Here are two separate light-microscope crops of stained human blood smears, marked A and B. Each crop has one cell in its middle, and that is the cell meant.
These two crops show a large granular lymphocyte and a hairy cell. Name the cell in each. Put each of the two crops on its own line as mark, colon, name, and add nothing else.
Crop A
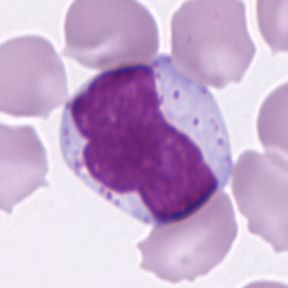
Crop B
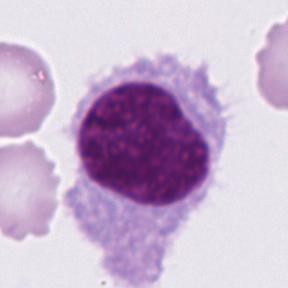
A: large granular lymphocyte
B: hairy cell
